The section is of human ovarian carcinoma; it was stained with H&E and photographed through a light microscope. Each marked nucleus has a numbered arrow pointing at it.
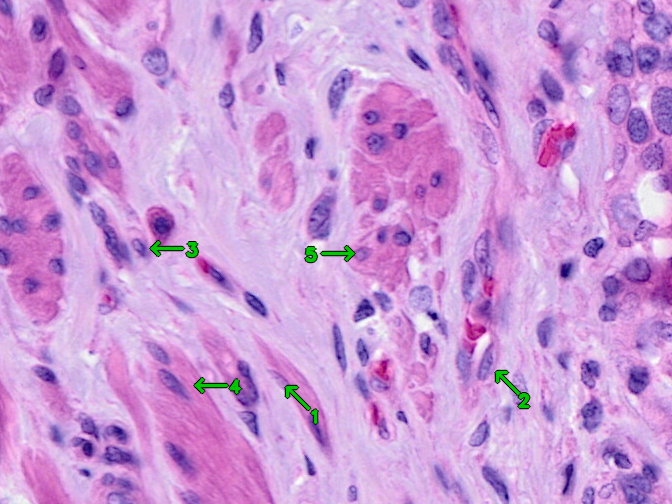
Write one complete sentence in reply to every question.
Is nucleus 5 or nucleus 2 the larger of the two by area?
Of the two, number 2 is bigger and takes up about 3 times the area of number 5.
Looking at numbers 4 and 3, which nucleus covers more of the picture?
Nucleus 4 is larger, with an area about 1.5 times that of nucleus 3.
